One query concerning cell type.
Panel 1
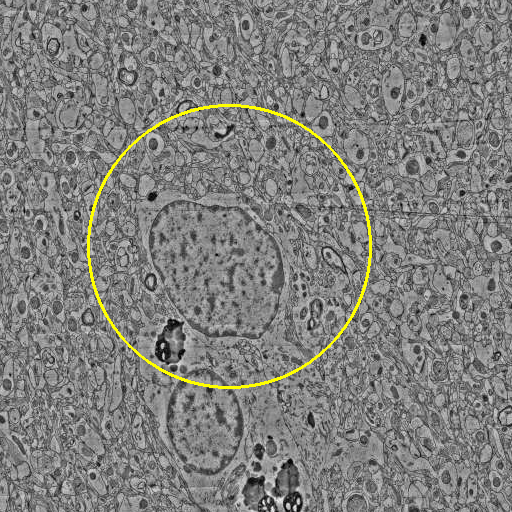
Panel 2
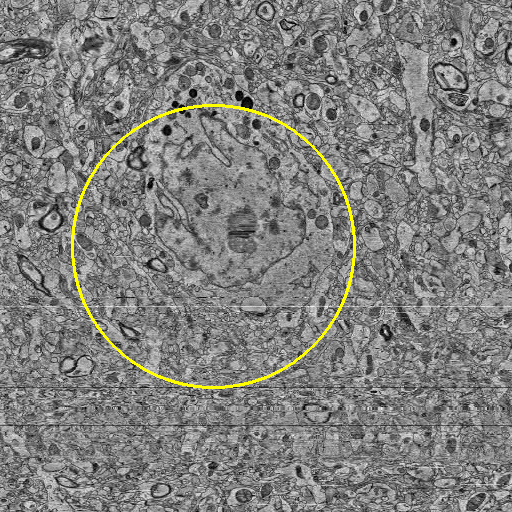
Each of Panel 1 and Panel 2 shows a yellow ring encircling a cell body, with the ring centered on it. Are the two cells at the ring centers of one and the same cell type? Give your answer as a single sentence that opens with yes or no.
No, the cell centered in Panel 1 and the one in Panel 2 are of two types.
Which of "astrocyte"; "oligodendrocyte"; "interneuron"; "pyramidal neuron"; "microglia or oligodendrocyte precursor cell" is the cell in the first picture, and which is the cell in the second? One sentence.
The two differ: the first cell is a microglial cell or oligodendrocyte precursor cell and the second is an interneuron.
